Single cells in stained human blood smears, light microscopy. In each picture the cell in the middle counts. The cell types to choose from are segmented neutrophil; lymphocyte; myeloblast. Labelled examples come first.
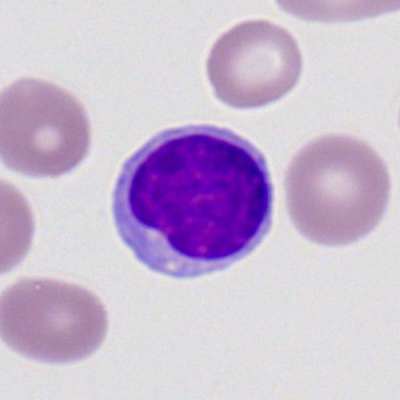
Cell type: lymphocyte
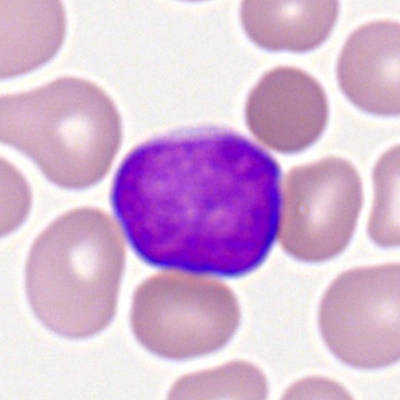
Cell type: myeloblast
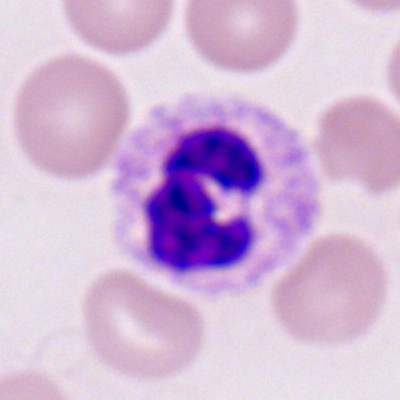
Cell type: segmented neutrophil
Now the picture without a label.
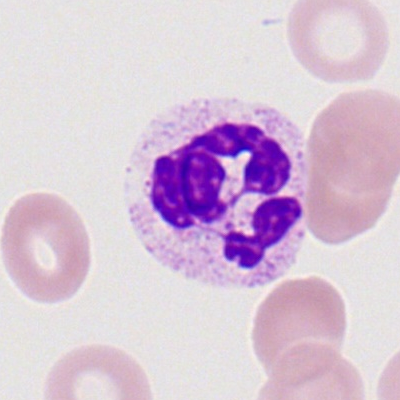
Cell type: segmented neutrophil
